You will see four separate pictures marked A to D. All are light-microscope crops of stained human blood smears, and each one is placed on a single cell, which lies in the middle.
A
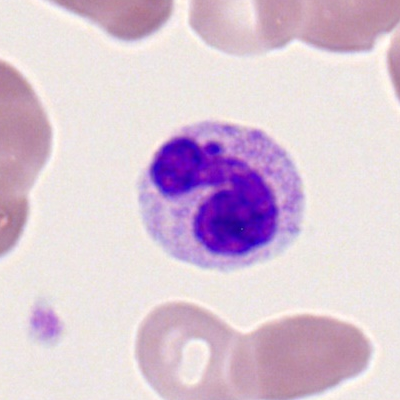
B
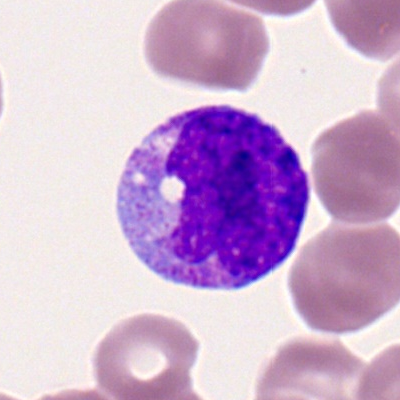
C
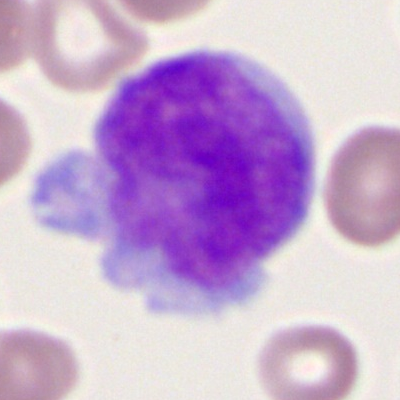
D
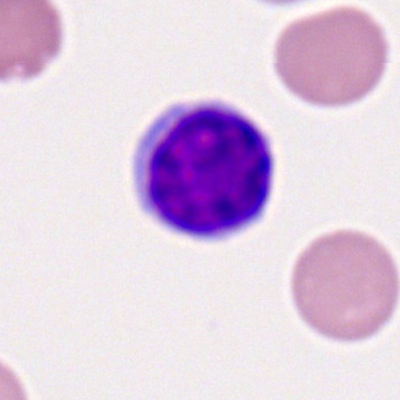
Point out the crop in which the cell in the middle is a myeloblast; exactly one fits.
C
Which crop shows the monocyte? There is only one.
B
